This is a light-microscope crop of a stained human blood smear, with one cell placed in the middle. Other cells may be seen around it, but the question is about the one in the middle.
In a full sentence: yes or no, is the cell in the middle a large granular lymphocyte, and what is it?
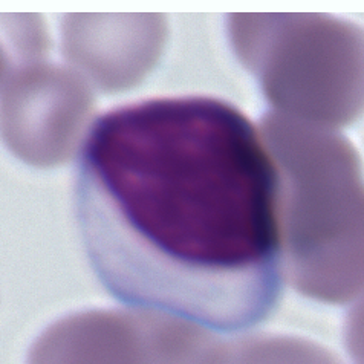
Yes, the crop is centred on a large granular lymphocyte.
